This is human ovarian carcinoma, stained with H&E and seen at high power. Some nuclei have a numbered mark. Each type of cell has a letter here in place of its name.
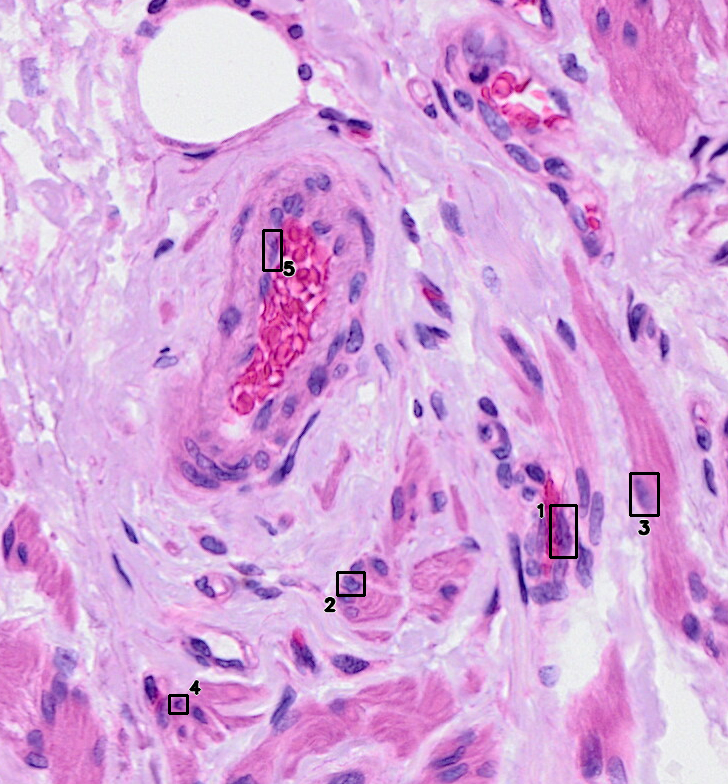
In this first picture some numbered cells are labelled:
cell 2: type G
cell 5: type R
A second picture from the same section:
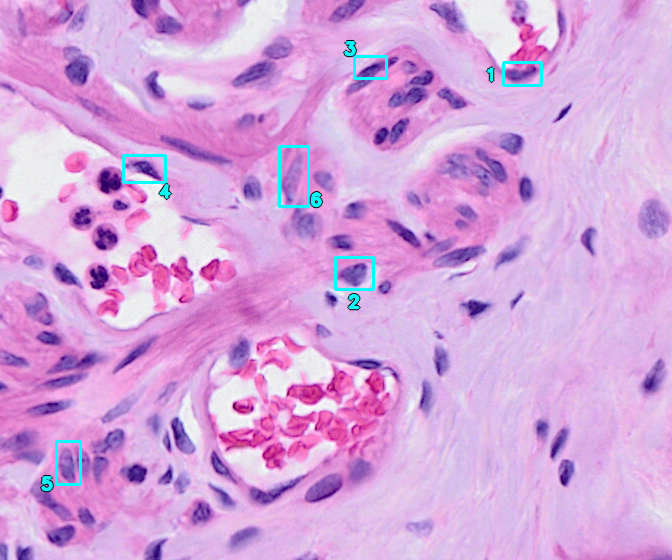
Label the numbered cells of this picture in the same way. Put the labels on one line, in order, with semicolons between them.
type R; type G; type G; type R; type G; type G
